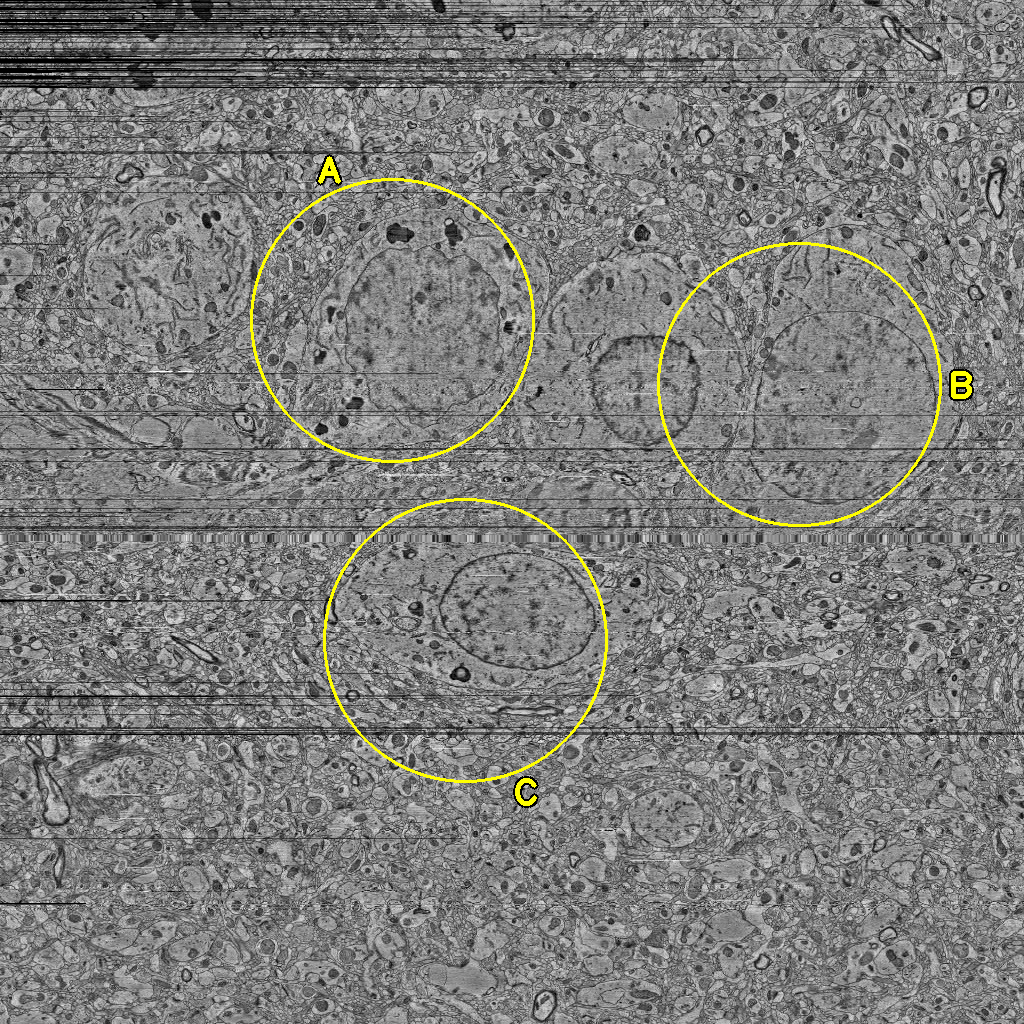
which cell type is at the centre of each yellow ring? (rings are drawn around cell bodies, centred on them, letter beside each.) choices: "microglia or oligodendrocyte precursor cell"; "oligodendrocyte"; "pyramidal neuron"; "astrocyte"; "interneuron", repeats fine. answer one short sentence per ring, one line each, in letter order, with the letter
Ring A is an interneuron.
Ring B is a pyramidal neuron.
Ring C is a pyramidal neuron.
